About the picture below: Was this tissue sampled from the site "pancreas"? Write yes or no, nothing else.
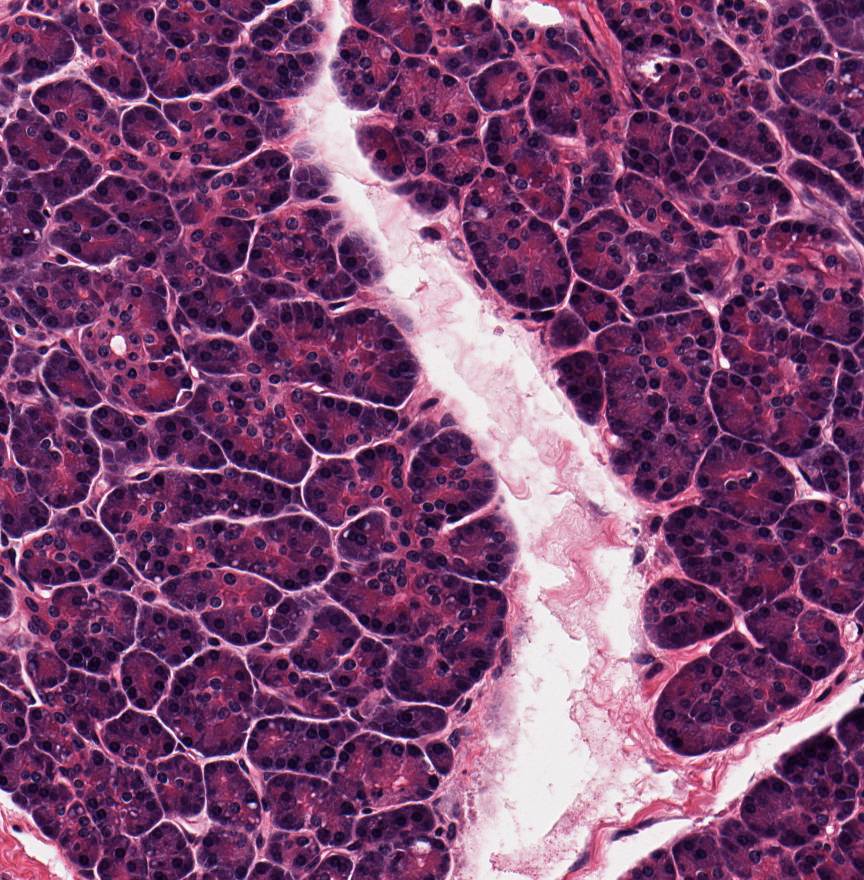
yes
